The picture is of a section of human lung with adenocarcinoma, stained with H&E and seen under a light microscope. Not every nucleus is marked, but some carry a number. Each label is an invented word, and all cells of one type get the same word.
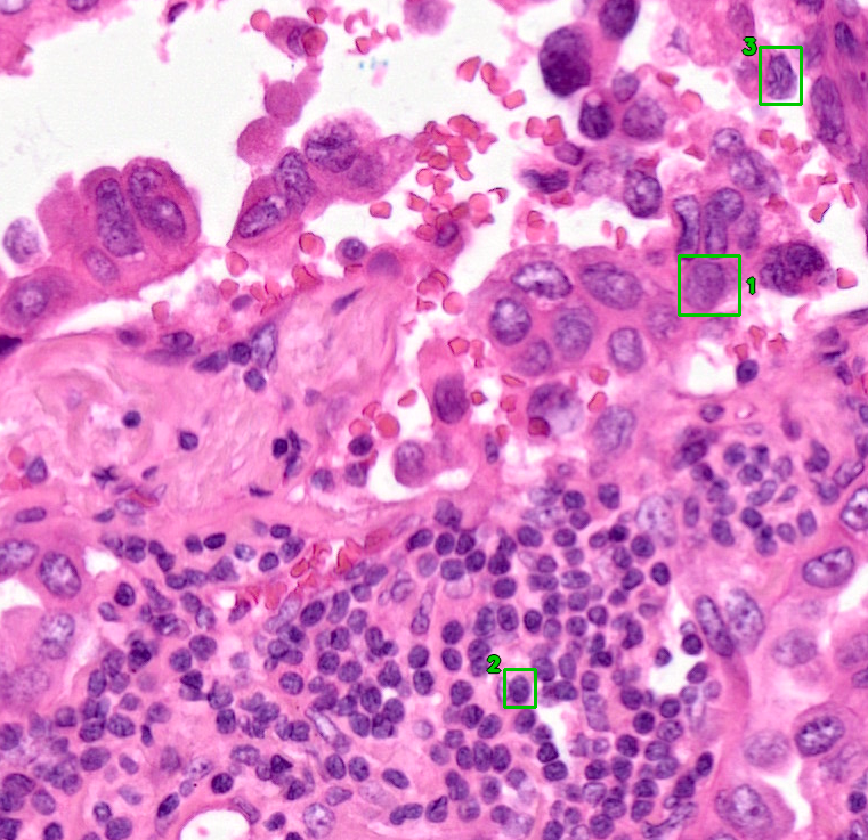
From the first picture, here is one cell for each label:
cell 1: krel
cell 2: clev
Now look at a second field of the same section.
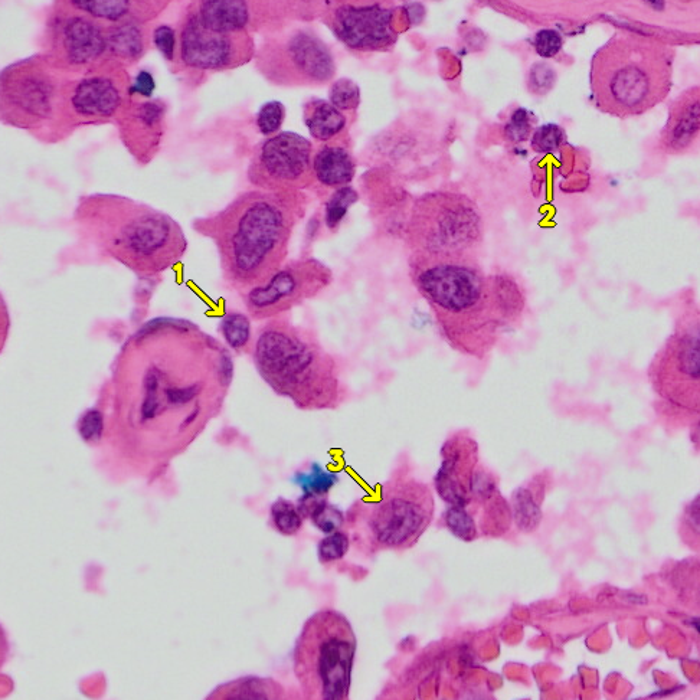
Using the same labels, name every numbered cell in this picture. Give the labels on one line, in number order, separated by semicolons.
clev; clev; krel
